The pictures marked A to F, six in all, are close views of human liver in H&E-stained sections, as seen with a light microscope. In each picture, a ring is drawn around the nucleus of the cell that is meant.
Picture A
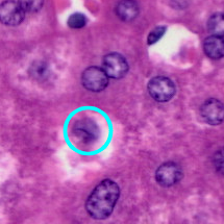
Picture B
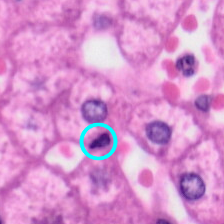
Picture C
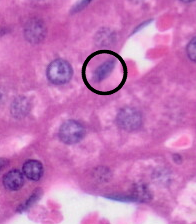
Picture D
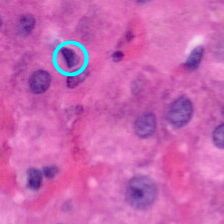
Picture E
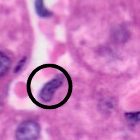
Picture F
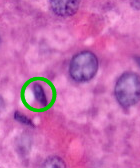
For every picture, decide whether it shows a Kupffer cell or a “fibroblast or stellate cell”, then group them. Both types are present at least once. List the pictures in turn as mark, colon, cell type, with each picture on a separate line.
A: Kupffer cell
B: fibroblast or stellate cell
C: fibroblast or stellate cell
D: fibroblast or stellate cell
E: Kupffer cell
F: fibroblast or stellate cell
